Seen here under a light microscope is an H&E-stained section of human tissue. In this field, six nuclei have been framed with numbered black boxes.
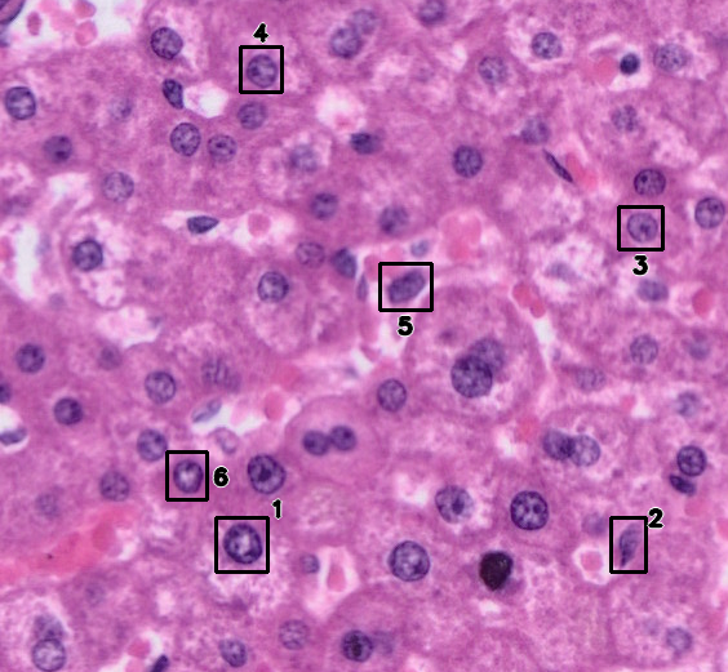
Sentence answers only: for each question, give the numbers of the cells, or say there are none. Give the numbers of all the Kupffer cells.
The nucleus numbered 5 is the only one that belongs to a Kupffer cell.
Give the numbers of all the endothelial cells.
Of the marked cells, the one numbered 2 is an endothelial cell and the rest are not.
